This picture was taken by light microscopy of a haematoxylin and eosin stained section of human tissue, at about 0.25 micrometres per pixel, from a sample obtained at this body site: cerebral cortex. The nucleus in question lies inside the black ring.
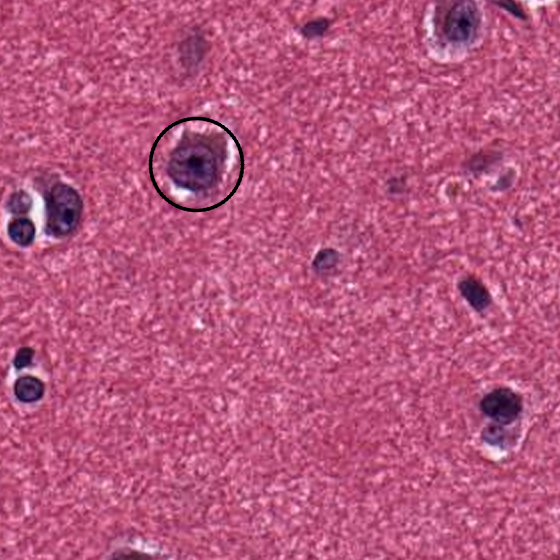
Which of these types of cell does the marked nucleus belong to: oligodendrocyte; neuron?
neuron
